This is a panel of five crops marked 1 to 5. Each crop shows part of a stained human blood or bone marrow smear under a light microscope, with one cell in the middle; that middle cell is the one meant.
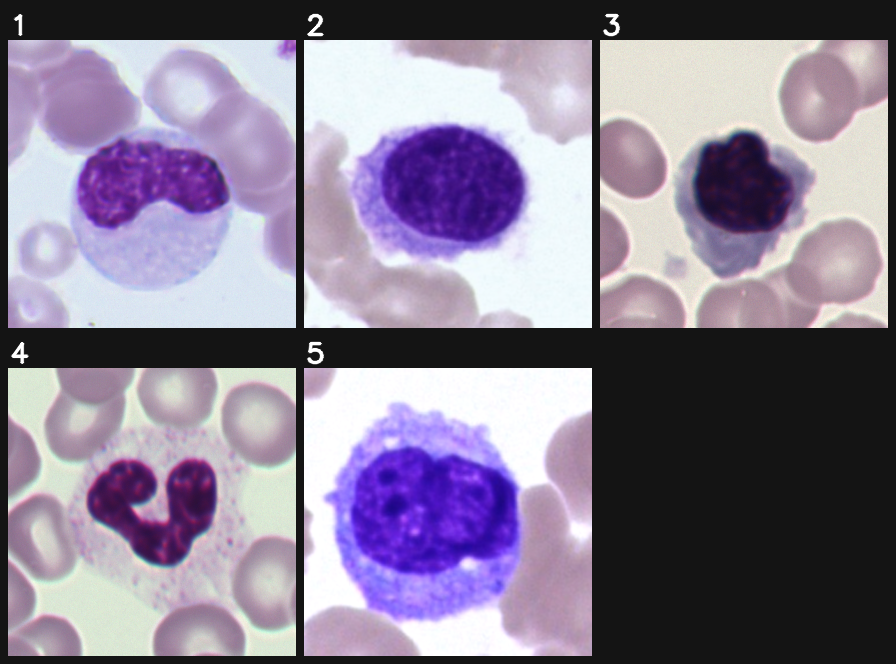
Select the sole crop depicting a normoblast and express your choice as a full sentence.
Crop 3 is the crop featuring a normoblast at its center.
